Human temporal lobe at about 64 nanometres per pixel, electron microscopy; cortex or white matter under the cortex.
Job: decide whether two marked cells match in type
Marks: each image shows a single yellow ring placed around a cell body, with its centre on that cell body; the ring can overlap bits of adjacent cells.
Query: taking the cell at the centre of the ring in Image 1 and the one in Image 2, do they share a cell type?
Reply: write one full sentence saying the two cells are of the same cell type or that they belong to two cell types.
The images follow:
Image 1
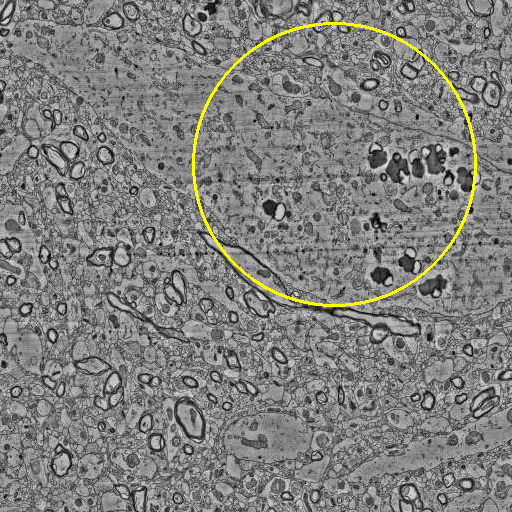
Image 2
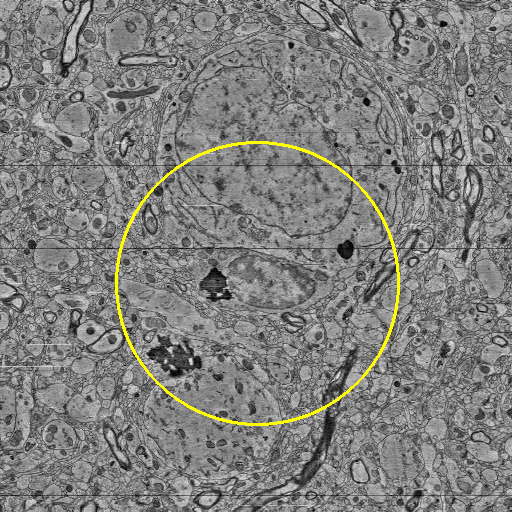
The cells at the ring centres in Image 1 and Image 2 are of the same cell type.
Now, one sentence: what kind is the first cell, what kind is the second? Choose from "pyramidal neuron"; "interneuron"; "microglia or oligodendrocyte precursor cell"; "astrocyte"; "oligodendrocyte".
In the first picture and in the second, the ring is centred on an oligodendrocyte.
